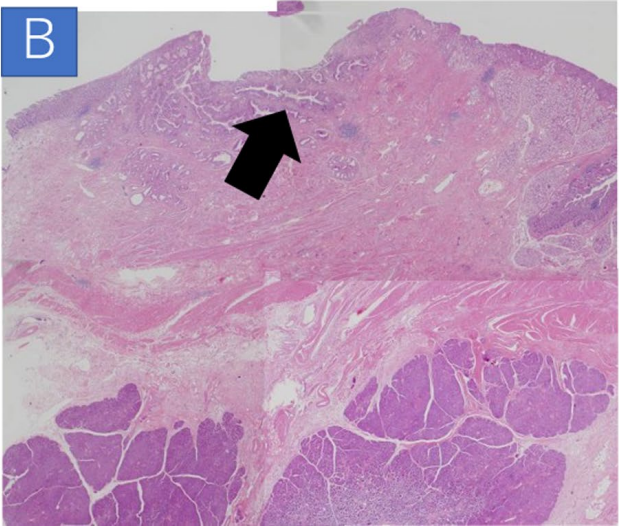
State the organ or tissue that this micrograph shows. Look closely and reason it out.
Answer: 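A mound covered by glandular mucosa sits above deeper tissue. Ducts lined by epithelium run within the mound. Bands of pink muscle and fibrous tissue separate it from purple glandular lobules below. On this evidence: The papilla of Vater.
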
